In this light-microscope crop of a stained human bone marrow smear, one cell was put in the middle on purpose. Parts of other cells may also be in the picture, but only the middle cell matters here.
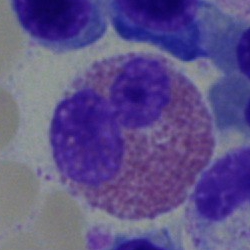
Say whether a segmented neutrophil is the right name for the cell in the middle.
no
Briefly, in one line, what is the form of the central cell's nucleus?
Multiple nuclear lobes, two or more, can be counted in this cell.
